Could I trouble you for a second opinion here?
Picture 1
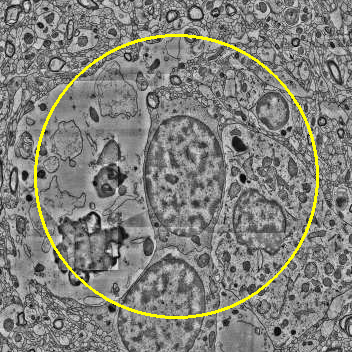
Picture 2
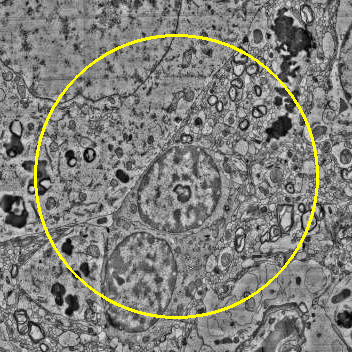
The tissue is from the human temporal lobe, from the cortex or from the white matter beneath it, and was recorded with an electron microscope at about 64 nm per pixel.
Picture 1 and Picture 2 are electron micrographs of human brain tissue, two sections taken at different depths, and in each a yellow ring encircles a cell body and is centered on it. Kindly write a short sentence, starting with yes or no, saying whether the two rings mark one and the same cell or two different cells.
No, the two yellow rings surround two different cells.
